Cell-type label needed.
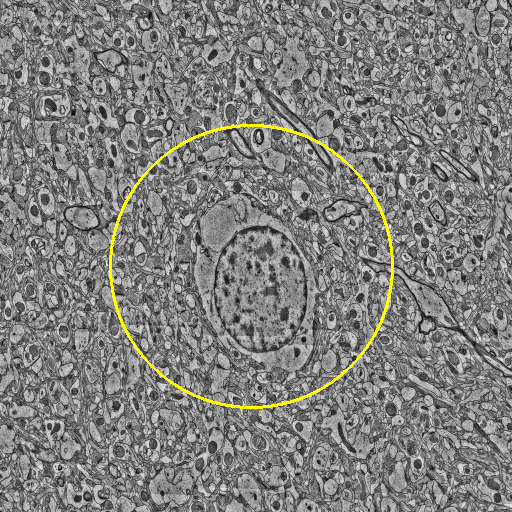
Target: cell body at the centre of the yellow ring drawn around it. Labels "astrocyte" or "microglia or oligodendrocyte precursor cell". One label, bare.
astrocyte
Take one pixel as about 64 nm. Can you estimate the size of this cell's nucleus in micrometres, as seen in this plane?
About 8 micrometres by about 6 micrometres in this plane.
